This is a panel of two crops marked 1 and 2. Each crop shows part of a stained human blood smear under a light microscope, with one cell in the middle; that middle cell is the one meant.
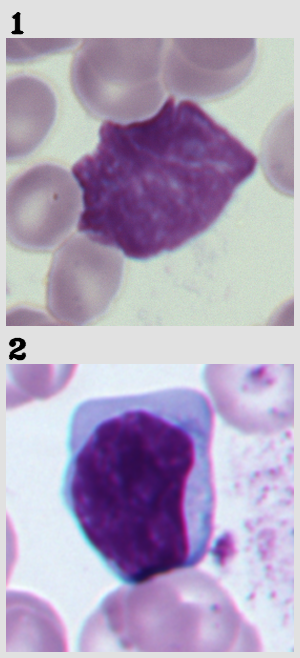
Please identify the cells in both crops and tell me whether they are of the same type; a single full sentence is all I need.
No, crop 1 contains a smudge cell, while crop 2 contains a typical lymphocyte.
